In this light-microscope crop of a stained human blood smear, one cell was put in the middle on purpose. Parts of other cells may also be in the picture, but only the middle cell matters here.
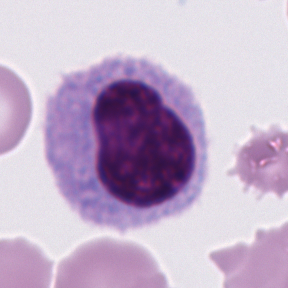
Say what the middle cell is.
hairy cell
